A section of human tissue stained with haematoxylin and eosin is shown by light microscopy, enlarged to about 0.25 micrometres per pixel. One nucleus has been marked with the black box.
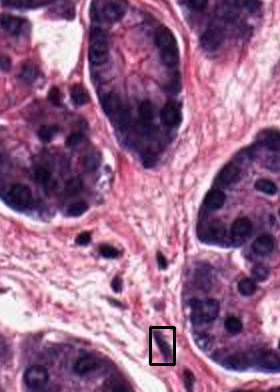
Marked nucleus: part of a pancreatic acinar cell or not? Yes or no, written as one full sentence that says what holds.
No, the marked nucleus is not part of a pancreatic acinar cell and instead belongs to a supporting cell.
